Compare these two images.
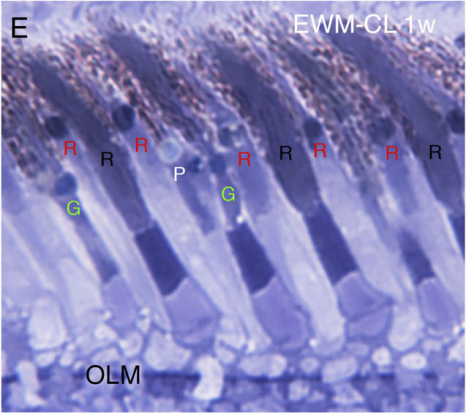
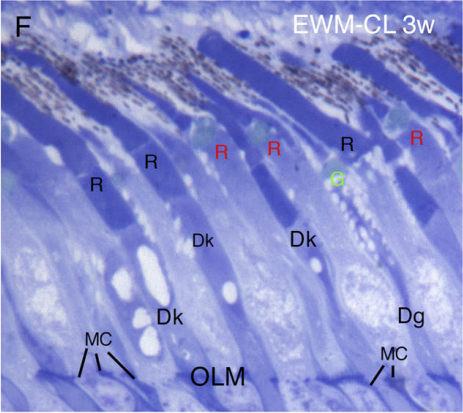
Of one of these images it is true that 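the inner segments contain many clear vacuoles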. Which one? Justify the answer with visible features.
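Second image: clear round white spaces sit within the inner segments, some of which are narrowed and dark. That points to this answer: the second image.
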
